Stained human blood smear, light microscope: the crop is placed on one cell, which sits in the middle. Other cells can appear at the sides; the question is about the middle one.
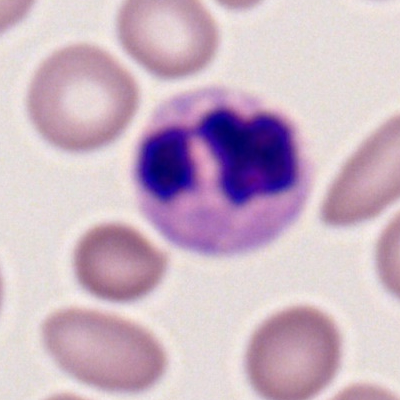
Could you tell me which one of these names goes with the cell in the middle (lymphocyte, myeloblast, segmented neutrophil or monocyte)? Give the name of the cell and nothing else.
segmented neutrophil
